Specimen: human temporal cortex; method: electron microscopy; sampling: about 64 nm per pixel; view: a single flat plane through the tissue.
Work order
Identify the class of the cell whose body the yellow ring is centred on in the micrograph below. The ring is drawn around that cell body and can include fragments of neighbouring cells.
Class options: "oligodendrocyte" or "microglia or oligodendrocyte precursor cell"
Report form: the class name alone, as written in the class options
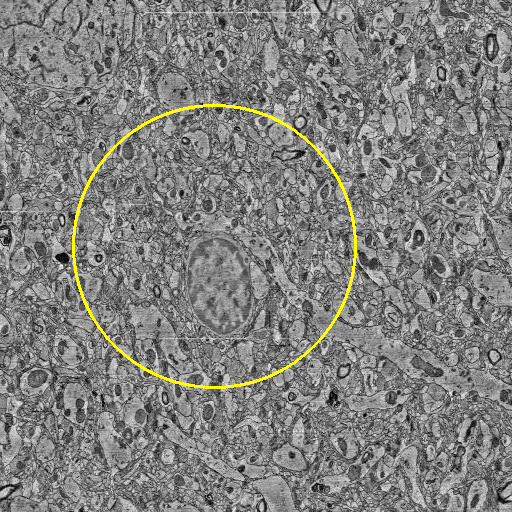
oligodendrocyte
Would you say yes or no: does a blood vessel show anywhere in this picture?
No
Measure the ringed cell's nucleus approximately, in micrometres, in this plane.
The ringed cell's nucleus is roughly 6 by 4 micrometres and clearly longer than it is wide in this plane.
